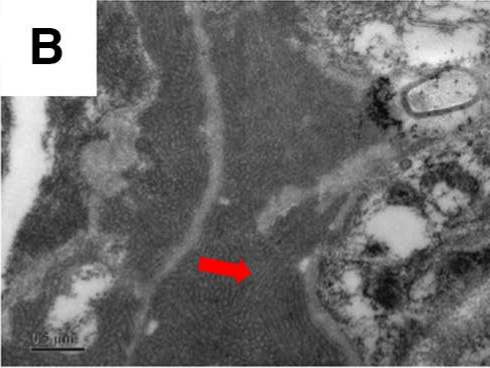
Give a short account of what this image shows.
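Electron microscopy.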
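Broad areas of closely packed microtubule-like structures fill the field at higher magnification. The tubules lie in ordered parallel arrays, with paler bands of membrane-like material crossing between deposits. Fragments of cells with vacuoles and dense material lie at the right edge.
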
